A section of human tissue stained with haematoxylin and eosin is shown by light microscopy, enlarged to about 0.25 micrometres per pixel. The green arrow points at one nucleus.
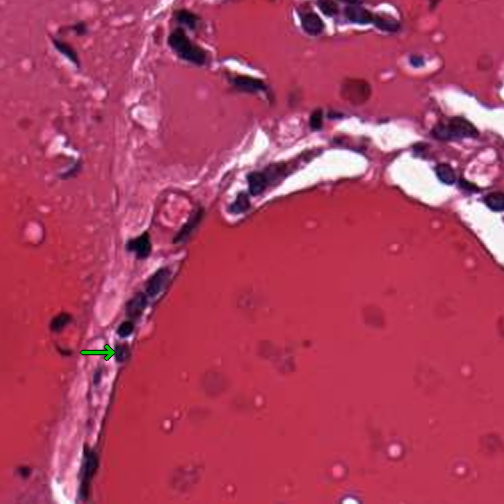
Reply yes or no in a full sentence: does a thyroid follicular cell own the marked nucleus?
Yes, the marked nucleus is held by a thyroid follicular cell.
